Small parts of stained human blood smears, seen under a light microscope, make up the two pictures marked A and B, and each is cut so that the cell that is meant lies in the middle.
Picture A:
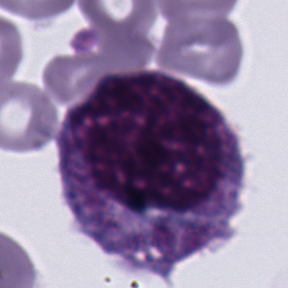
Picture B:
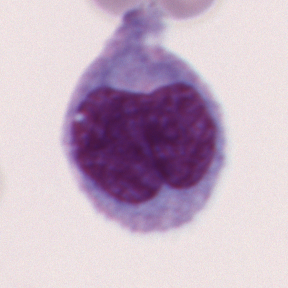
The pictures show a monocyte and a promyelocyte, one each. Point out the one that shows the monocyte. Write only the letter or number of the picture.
B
